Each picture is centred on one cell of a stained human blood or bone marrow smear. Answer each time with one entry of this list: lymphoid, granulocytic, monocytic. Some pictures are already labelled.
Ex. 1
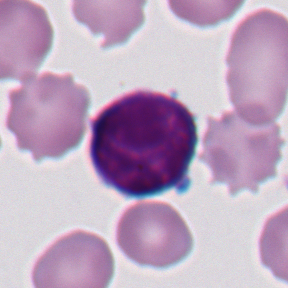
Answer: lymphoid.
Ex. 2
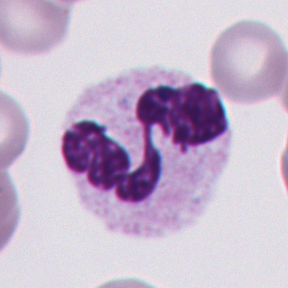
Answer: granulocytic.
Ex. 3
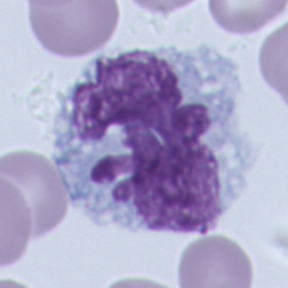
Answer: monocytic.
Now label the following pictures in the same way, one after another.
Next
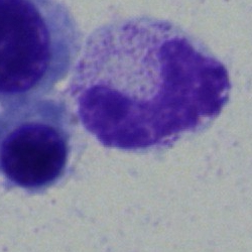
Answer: granulocytic.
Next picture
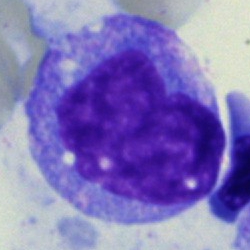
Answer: monocytic.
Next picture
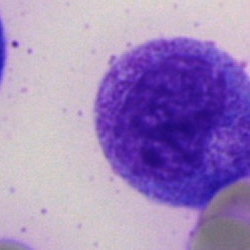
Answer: granulocytic.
